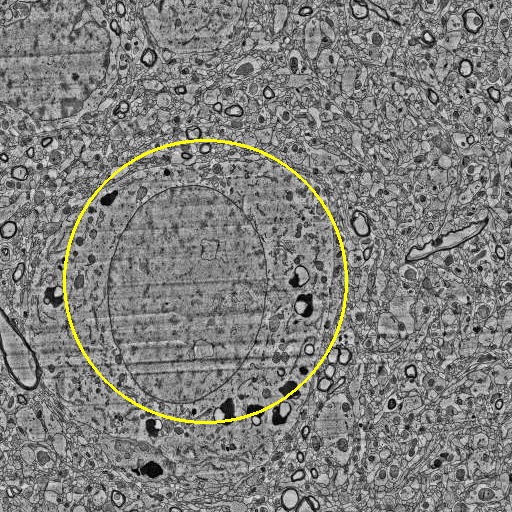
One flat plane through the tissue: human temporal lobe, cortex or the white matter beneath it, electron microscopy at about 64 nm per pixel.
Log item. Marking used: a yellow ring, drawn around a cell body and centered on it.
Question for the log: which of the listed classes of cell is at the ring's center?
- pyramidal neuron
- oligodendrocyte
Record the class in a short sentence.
At the center of the ring lies a pyramidal neuron.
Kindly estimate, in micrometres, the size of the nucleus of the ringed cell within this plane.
In this plane, roughly 14 by 10 micrometres.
